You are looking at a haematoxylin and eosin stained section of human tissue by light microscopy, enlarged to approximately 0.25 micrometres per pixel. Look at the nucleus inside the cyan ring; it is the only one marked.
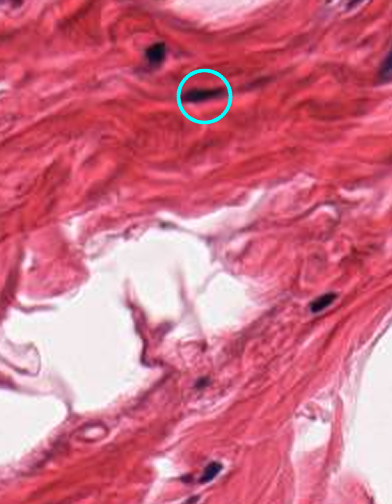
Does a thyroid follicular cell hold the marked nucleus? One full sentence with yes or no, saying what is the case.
No, it is a supporting cell whose nucleus is marked, not a thyroid follicular cell.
